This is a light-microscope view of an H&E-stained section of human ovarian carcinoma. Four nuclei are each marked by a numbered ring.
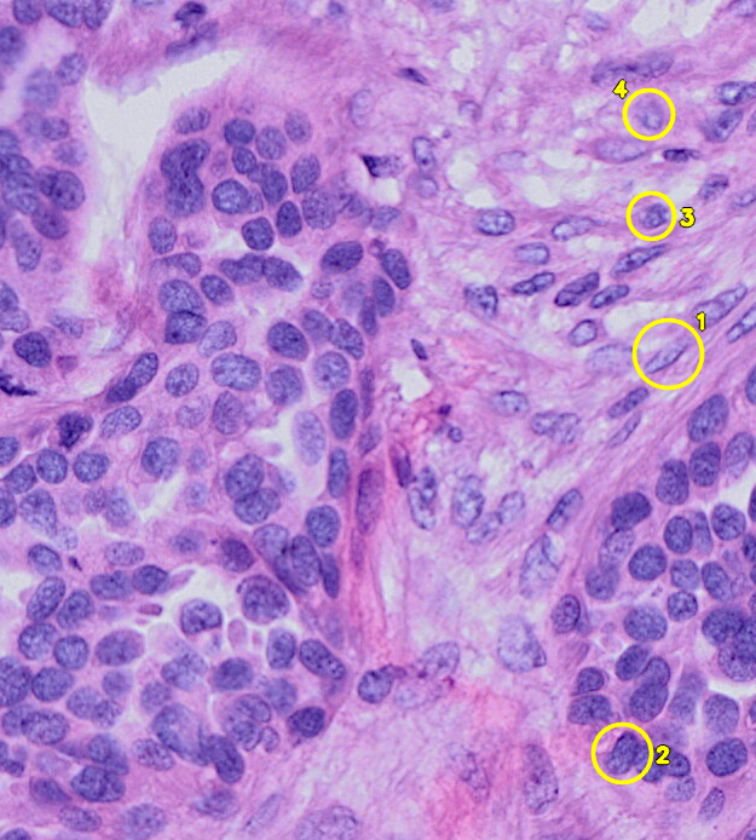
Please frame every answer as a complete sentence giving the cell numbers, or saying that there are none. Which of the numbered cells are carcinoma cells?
Unlike the other numbered cells, cell 2 is a carcinoma cell.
